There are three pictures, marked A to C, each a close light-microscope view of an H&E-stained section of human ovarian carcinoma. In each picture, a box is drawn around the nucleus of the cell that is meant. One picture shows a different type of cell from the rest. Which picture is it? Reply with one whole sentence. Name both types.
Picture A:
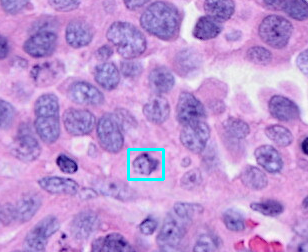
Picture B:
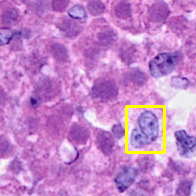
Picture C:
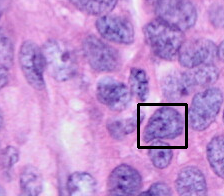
All pictures except C show “macrophages or monocytes”; picture C shows a carcinoma cell.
